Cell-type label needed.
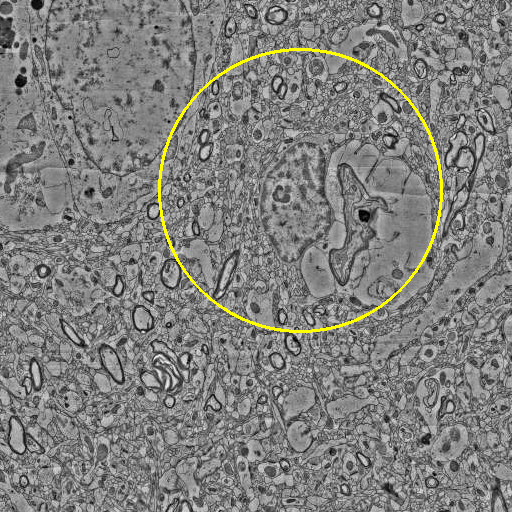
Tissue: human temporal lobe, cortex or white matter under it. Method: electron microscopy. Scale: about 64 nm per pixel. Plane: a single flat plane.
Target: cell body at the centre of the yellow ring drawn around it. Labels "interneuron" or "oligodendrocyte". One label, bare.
oligodendrocyte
